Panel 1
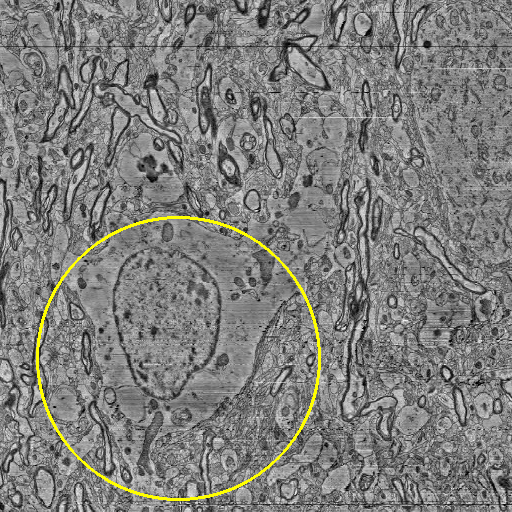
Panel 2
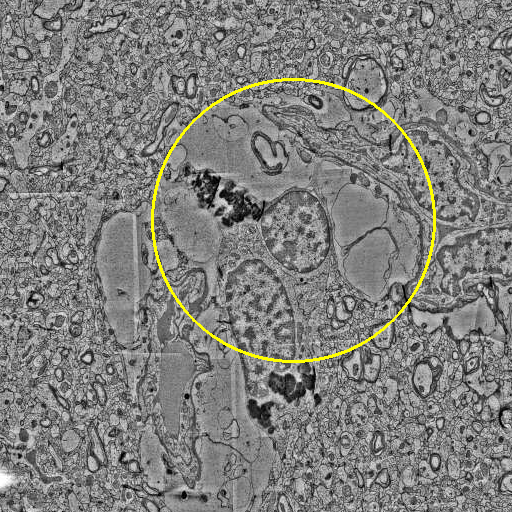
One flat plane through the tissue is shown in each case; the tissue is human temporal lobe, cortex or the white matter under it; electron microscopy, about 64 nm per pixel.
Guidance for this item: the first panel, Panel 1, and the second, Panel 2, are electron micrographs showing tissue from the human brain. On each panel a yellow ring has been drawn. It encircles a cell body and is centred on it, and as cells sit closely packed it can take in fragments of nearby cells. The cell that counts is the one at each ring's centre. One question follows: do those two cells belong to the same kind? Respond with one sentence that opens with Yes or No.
No, the cells at the ring centres in Panel 1 and Panel 2 are of two kinds.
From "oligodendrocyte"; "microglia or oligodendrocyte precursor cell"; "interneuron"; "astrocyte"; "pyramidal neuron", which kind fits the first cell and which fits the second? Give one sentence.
The cell marked in the first picture is an astrocyte, and the one marked in the second is an oligodendrocyte.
